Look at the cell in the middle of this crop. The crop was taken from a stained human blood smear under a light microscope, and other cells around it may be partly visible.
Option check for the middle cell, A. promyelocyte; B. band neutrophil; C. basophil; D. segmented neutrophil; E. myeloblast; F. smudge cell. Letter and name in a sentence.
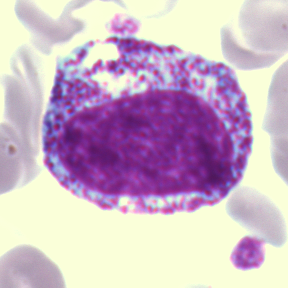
The cell at the centre is a promyelocyte, and option A accordingly is correct.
